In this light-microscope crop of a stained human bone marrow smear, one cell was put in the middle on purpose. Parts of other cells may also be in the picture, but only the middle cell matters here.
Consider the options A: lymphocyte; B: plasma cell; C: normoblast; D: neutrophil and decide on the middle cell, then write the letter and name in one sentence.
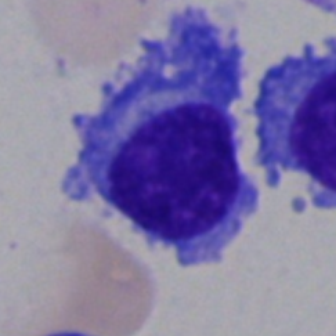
Answer key: option B, the middle cell being a plasma cell.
